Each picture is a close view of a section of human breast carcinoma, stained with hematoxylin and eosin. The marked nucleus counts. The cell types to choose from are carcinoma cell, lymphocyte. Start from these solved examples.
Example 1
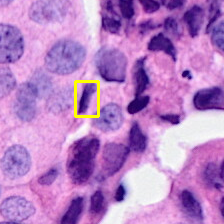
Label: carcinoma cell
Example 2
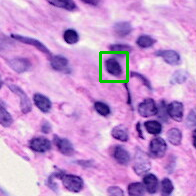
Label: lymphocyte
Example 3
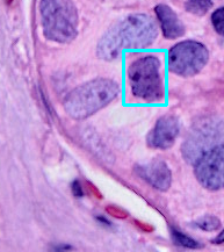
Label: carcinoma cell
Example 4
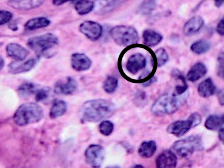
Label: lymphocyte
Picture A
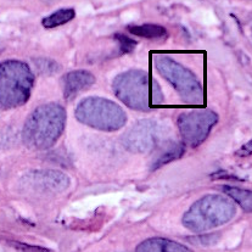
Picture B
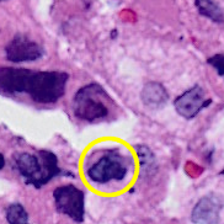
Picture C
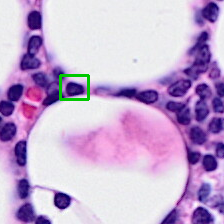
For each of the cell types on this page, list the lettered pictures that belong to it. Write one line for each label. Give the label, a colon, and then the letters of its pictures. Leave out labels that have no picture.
carcinoma cell: A, B
lymphocyte: C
